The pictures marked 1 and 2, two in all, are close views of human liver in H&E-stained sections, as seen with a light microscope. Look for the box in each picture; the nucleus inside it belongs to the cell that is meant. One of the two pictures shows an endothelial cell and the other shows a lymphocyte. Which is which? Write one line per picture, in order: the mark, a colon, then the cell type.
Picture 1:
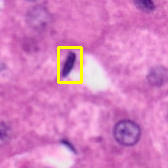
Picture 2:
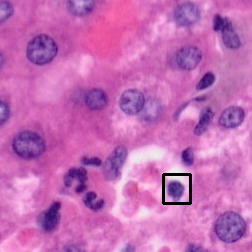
1: endothelial cell
2: lymphocyte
